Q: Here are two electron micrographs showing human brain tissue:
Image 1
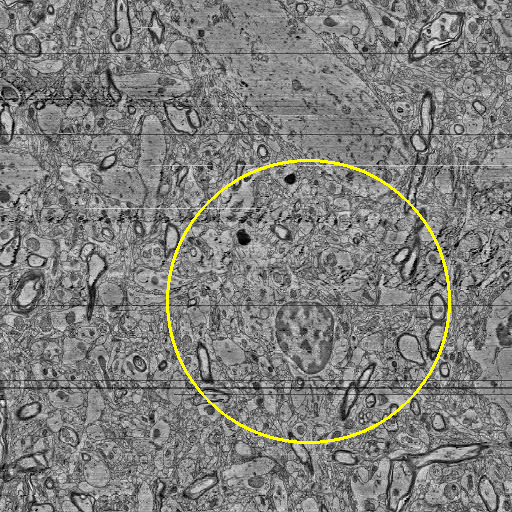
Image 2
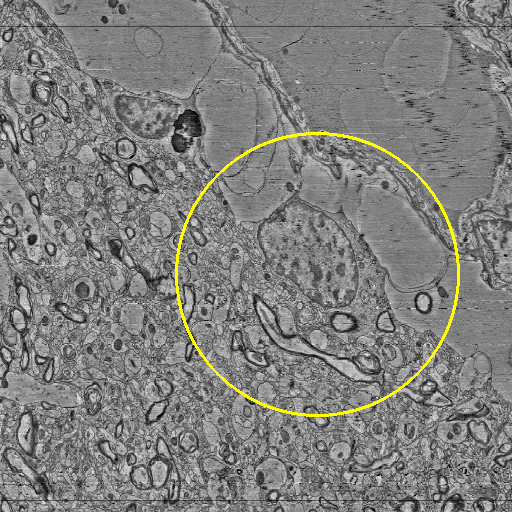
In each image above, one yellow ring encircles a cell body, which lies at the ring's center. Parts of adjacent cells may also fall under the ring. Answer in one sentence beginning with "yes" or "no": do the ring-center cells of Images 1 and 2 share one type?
No, in Images 1 and 2, the ring-center cells are of two types.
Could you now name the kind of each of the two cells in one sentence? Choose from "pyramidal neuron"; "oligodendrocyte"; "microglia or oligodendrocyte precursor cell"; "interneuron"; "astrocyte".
The first ring encloses a microglial cell or oligodendrocyte precursor cell; the second ring encloses an oligodendrocyte.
